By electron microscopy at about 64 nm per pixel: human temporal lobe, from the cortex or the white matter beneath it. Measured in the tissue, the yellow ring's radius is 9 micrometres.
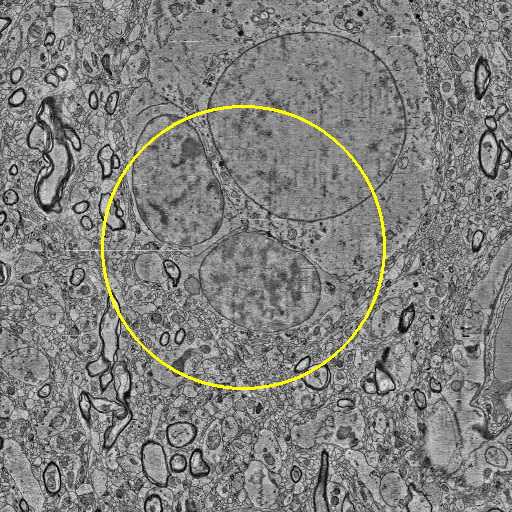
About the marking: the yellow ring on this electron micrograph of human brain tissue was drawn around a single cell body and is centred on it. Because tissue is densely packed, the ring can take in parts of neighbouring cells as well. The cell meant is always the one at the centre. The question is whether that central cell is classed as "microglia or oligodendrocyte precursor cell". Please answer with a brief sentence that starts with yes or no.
No, the central cell belongs to another class.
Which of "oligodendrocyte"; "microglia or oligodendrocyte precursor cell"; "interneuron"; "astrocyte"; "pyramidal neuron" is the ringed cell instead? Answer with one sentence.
So the cell at the centre is an oligodendrocyte.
